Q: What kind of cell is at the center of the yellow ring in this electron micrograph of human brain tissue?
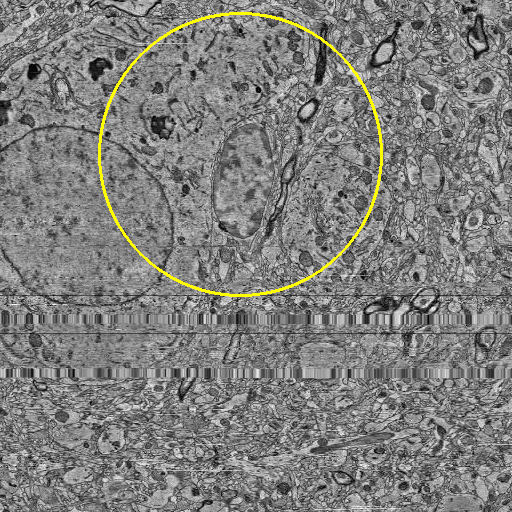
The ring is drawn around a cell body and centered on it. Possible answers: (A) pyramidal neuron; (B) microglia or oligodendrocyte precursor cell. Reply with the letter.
B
